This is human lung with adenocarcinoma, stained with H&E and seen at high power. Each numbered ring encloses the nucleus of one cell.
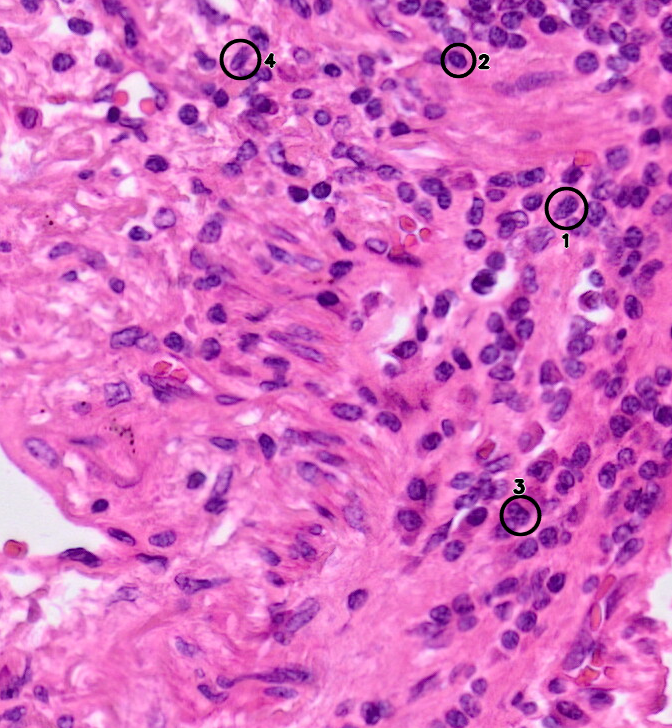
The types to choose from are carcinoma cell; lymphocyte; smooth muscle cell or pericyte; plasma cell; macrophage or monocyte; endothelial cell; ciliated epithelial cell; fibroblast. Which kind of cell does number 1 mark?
lymphocyte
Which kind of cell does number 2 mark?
lymphocyte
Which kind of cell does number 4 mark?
lymphocyte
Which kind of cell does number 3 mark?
plasma cell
